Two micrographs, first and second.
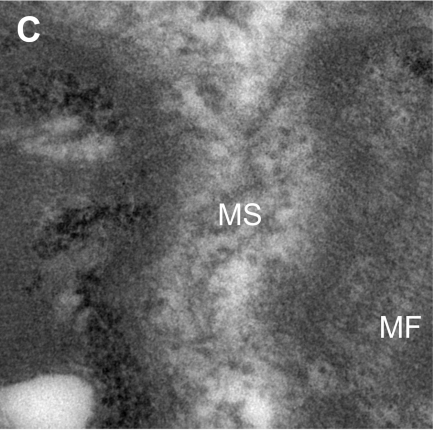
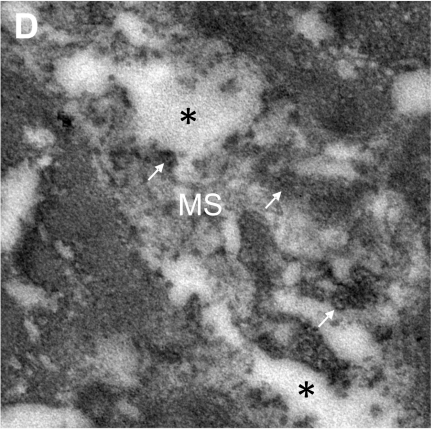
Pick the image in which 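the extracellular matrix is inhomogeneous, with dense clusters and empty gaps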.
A: the second image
